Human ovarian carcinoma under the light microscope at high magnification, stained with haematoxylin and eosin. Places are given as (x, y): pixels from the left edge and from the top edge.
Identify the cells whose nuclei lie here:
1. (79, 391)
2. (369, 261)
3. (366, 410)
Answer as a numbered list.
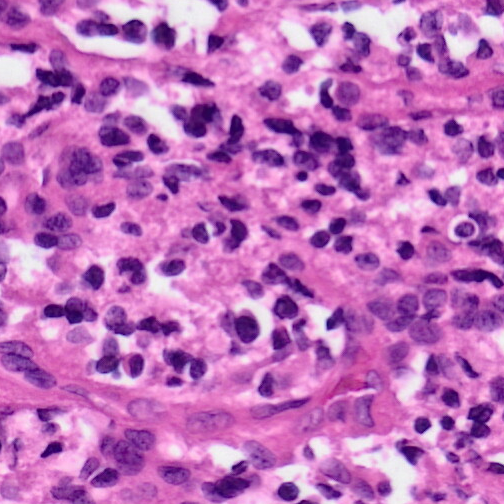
1. endothelial cell
2. macrophage or monocyte
3. endothelial cell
